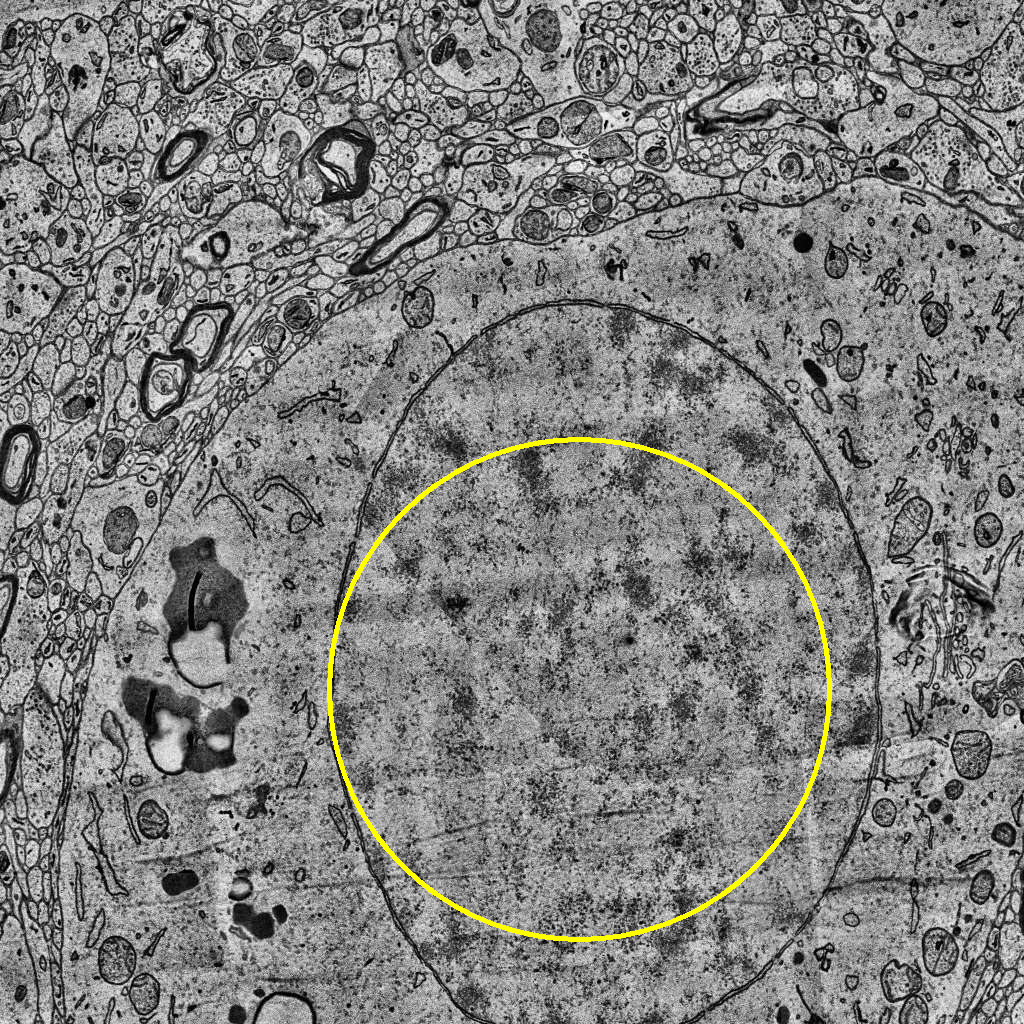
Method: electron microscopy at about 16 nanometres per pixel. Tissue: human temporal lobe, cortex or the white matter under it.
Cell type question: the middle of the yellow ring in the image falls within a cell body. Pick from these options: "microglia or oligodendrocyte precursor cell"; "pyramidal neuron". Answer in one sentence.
The cell body at the center of the ring belongs to a pyramidal neuron.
